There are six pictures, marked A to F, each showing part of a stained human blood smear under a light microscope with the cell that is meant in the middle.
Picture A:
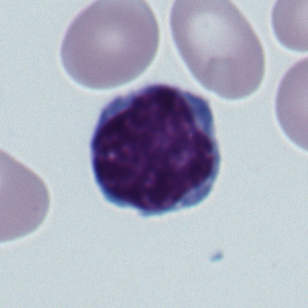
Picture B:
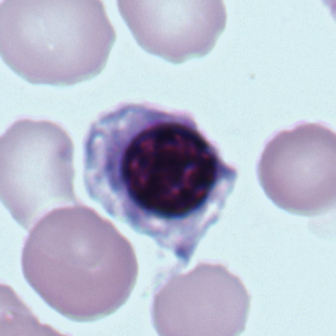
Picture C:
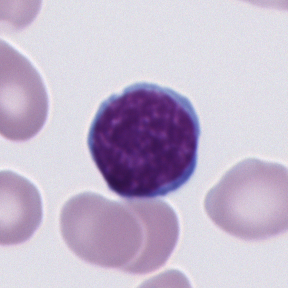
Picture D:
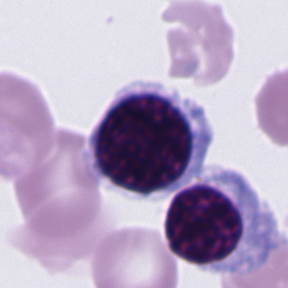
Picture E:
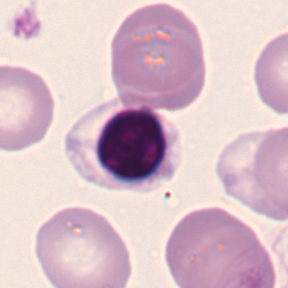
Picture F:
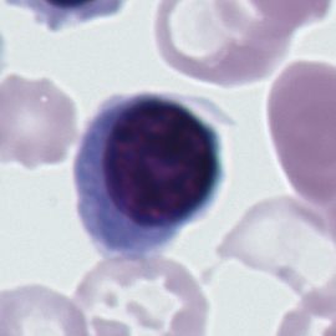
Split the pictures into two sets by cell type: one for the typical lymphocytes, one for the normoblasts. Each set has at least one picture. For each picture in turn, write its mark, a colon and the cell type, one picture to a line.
A: typical lymphocyte
B: normoblast
C: typical lymphocyte
D: normoblast
E: normoblast
F: normoblast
